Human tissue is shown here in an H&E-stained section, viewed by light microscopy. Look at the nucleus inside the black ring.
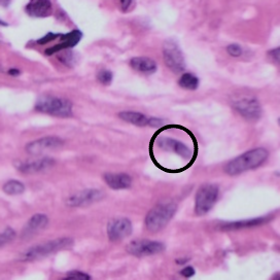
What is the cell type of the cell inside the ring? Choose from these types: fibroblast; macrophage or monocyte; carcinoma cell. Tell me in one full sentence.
As classified here, the cell inside the ring is a fibroblast.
